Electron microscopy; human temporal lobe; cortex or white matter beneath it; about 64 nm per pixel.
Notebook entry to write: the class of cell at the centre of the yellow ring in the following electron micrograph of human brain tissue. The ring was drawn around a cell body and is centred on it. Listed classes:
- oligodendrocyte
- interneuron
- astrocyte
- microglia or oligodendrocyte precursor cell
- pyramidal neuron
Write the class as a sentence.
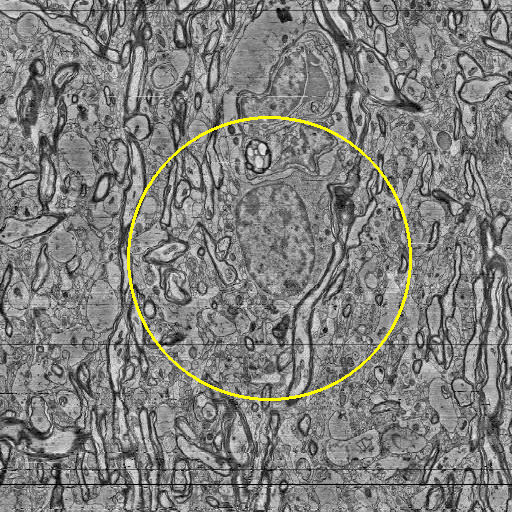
The yellow ring sits on an oligodendrocyte.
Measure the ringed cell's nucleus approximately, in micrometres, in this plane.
The nucleus comes to approximately 8 by 5 micrometres and is clearly longer than it is wide in this plane.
